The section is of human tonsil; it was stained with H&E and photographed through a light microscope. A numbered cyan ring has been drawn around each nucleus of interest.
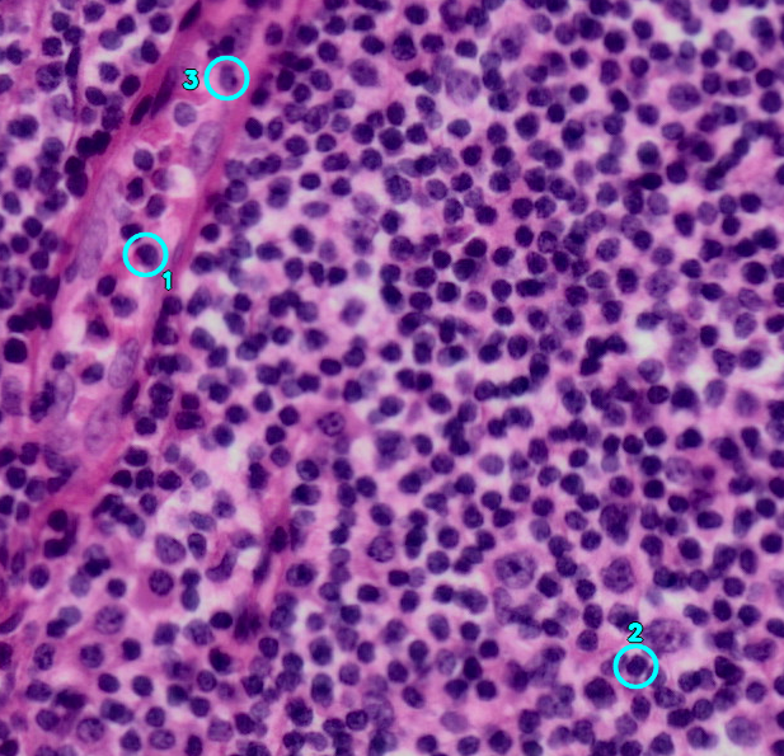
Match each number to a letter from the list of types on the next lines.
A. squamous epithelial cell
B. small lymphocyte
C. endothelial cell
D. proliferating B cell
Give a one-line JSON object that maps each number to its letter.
{"1": "C", "2": "B", "3": "C"}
